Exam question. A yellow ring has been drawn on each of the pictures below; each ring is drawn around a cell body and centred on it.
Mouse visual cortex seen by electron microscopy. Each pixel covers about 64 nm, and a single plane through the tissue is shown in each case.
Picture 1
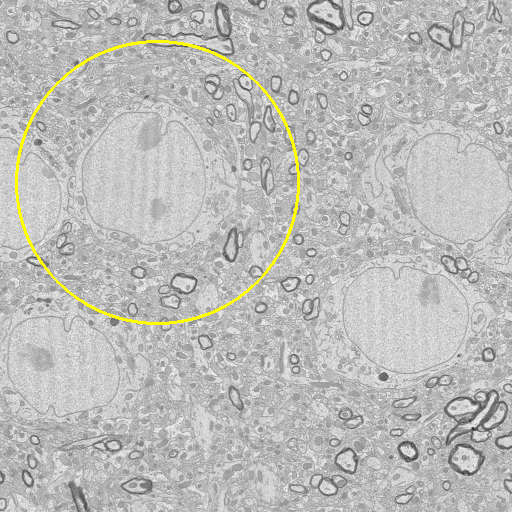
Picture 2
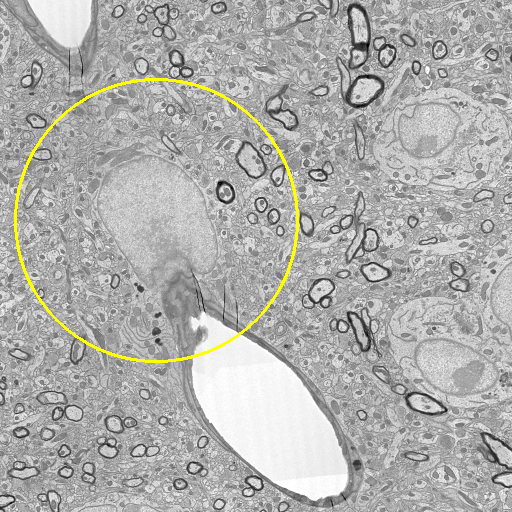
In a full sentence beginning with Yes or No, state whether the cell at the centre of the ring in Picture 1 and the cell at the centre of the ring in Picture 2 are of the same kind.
No, the cells are of two kinds.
